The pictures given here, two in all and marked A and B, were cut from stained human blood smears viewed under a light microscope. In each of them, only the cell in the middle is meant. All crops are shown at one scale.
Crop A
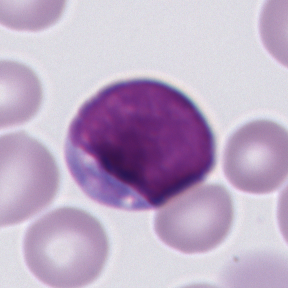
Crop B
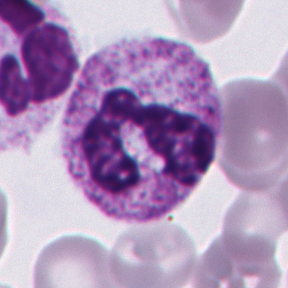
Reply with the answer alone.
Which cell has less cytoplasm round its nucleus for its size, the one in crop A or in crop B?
A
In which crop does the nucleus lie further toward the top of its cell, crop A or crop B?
A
